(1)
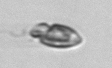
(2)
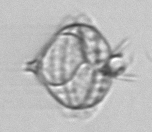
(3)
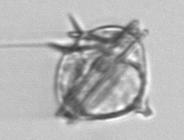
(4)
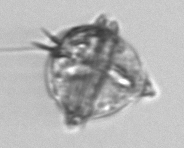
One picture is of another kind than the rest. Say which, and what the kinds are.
Picture 1 shows Kapelodinium; the rest show Protoperidinium.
